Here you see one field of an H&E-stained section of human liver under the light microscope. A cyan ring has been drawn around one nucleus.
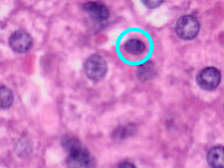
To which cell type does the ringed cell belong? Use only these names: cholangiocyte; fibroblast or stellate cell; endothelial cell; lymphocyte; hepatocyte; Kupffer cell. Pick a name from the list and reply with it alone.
lymphocyte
